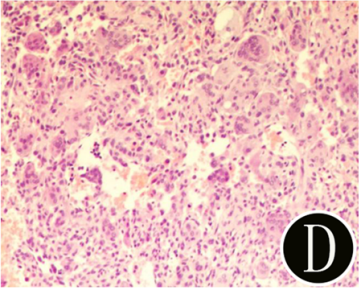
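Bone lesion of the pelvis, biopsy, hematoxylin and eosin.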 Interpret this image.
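The giant cells are large, with pale pink cytoplasm and numerous nuclei, and are scattered throughout the field. Between them, the mononuclear cells have oval to spindle-shaped purple nuclei and are loosely arranged. Small pale spaces and areas containing red blood cells are seen among the cells.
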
